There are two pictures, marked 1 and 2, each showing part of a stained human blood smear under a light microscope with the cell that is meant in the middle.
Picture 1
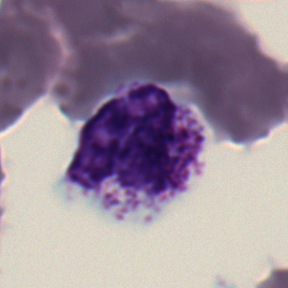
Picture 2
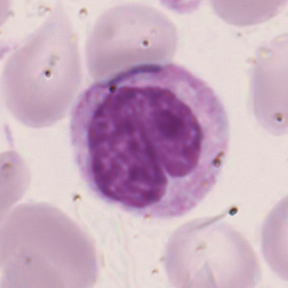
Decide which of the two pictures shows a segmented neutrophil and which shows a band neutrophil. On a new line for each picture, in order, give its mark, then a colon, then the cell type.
1: segmented neutrophil
2: band neutrophil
